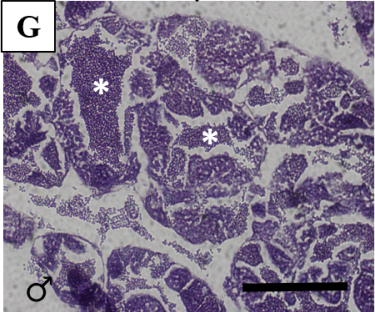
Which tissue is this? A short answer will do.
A: Testes.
